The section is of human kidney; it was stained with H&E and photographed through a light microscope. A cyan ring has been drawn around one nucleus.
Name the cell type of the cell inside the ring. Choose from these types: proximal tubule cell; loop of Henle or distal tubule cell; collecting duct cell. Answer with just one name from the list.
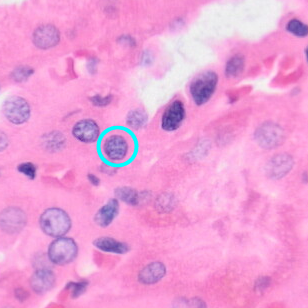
loop of Henle or distal tubule cell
